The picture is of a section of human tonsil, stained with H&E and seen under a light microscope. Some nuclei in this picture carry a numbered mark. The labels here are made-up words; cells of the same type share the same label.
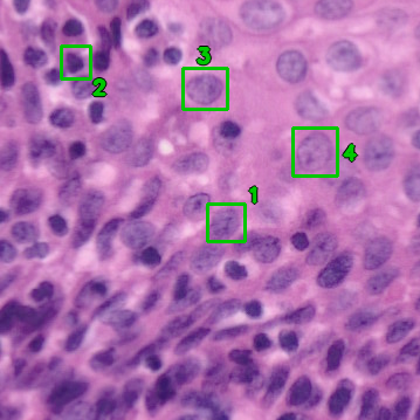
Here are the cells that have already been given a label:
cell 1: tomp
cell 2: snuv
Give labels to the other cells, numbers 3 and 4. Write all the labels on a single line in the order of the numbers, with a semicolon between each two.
tomp; tomp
